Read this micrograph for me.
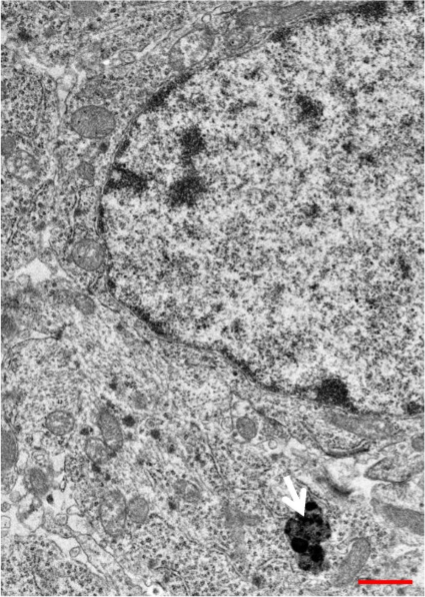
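The nucleus has finely granular, pale chromatin with a few darker clumps, and it is bounded by a thin, dark nuclear envelope. Around it lies the cytoplasm, packed with small dark granules and membranes, among which small oval mitochondria can be picked out. Near the bottom, a single cluster of very dense, black granules stands out in the cytoplasm; this is a lipofuscin deposit.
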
